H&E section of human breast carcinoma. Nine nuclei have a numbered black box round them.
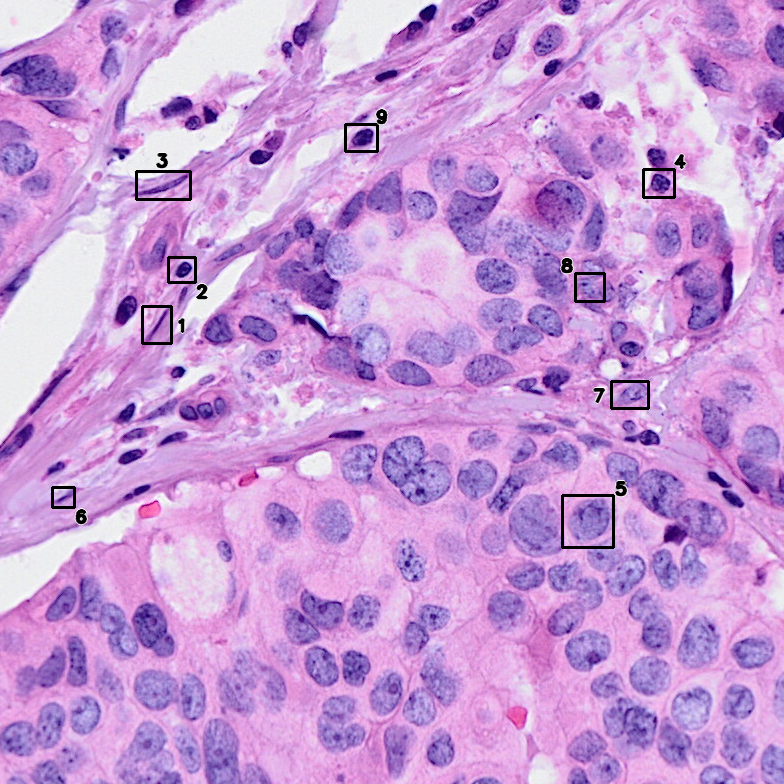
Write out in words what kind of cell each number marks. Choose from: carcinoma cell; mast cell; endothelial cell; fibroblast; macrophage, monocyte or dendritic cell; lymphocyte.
Cell 1 is a fibroblast, cell 2 is a lymphocyte, cell 3 is a fibroblast, cell 4 is a lymphocyte, cell 5 is a carcinoma cell, cell 6 is a fibroblast, cell 7 is a macrophage, monocyte or dendritic cell, cell 8 is an endothelial cell and cell 9 is a lymphocyte.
